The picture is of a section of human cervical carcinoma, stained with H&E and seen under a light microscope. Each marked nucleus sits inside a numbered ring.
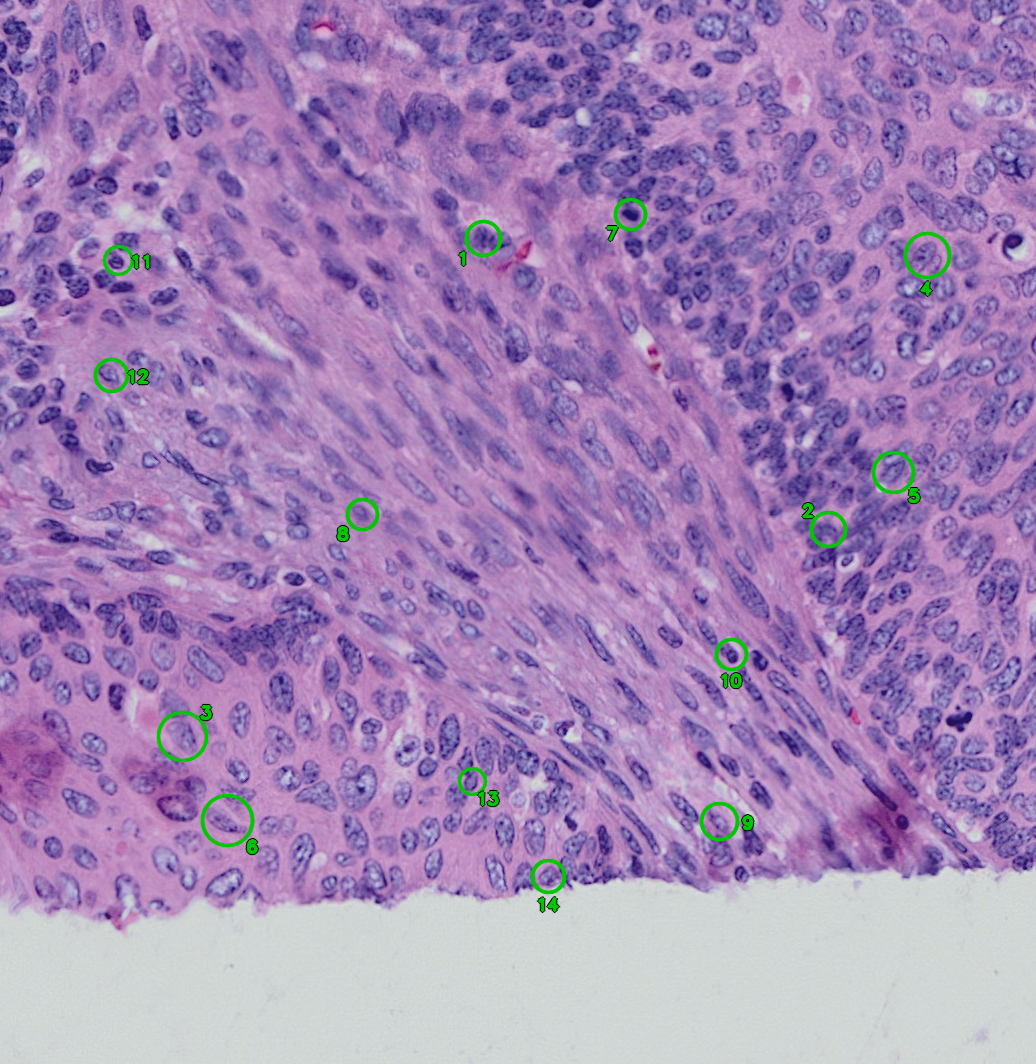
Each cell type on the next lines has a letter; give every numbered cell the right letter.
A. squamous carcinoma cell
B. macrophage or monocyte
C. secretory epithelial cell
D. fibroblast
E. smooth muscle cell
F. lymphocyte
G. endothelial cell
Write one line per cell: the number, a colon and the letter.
1: F
2: A
3: A
4: A
5: A
6: A
7: A
8: E
9: G
10: F
11: F
12: E
13: A
14: A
